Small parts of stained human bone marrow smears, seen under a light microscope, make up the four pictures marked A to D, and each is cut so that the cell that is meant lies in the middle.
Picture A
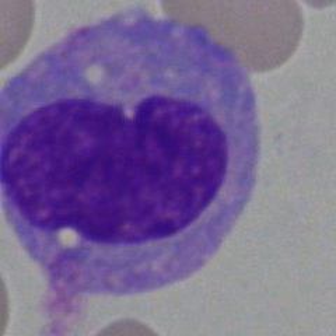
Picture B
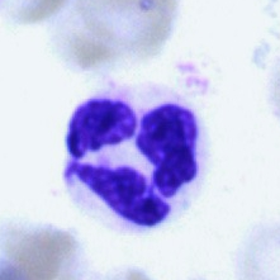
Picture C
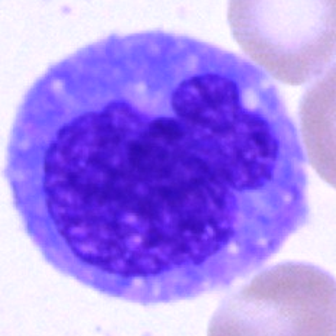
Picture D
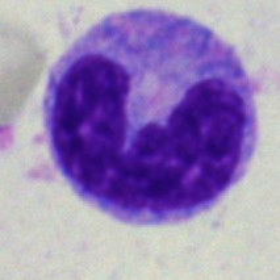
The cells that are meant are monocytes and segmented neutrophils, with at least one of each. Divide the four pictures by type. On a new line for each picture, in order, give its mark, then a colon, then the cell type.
A: monocyte
B: segmented neutrophil
C: monocyte
D: monocyte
